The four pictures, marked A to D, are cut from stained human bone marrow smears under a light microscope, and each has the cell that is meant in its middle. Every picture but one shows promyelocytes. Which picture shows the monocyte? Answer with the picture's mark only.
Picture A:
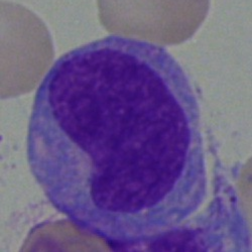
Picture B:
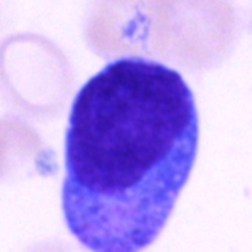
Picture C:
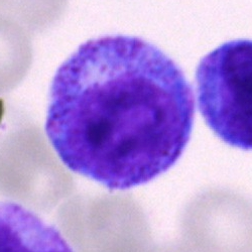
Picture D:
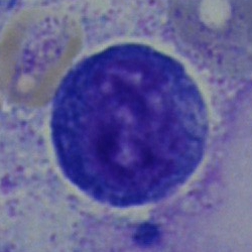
A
